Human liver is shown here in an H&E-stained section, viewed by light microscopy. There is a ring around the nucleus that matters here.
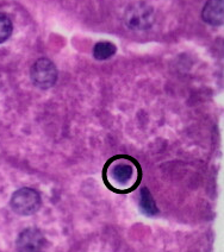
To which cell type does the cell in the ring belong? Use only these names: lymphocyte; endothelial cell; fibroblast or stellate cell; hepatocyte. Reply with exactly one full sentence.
So far as cell type goes, the cell in the ring is a lymphocyte.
